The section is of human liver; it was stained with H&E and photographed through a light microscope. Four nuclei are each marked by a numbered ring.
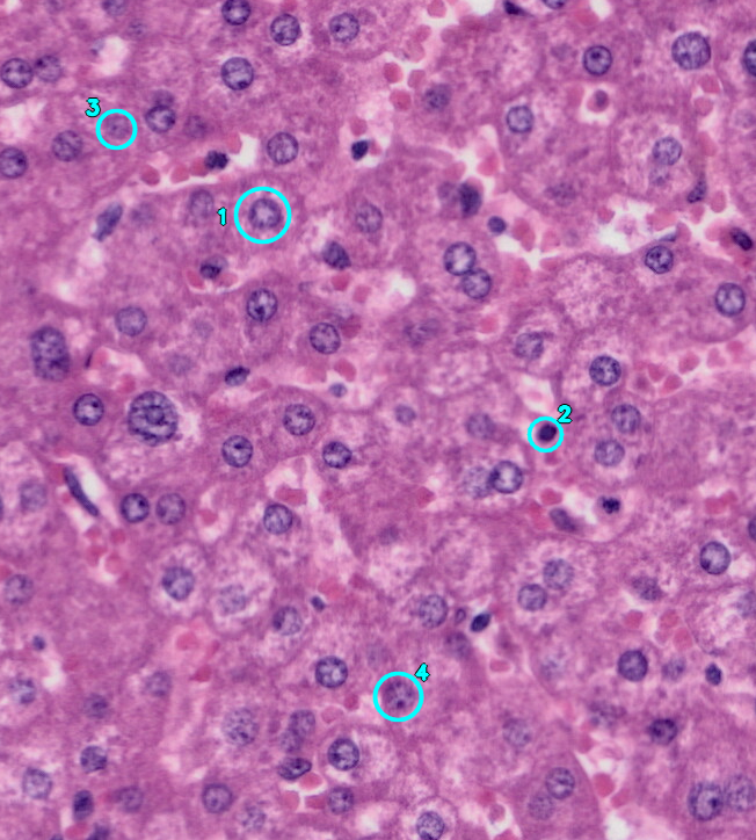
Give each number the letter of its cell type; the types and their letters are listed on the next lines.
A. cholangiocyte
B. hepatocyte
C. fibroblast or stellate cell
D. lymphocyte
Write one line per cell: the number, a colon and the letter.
1: B
2: D
3: B
4: B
